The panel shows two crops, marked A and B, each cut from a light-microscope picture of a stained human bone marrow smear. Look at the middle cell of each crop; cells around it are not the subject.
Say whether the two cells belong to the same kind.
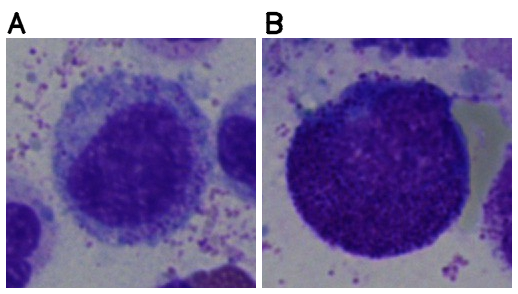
yes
